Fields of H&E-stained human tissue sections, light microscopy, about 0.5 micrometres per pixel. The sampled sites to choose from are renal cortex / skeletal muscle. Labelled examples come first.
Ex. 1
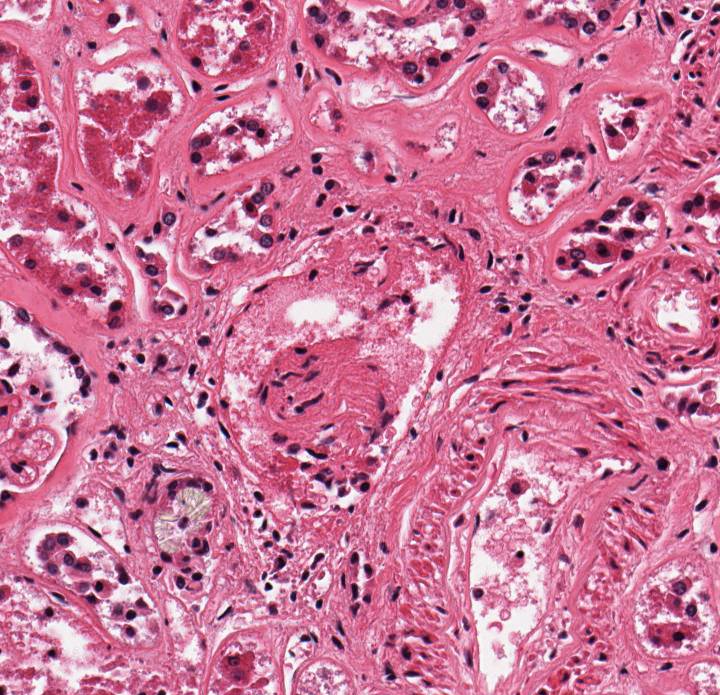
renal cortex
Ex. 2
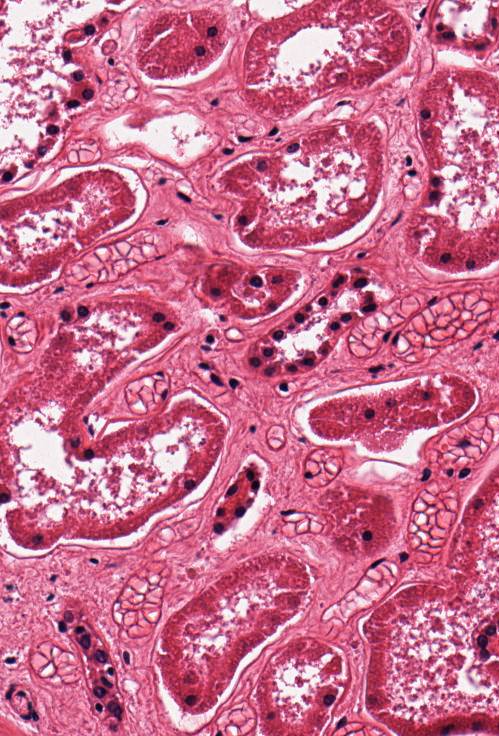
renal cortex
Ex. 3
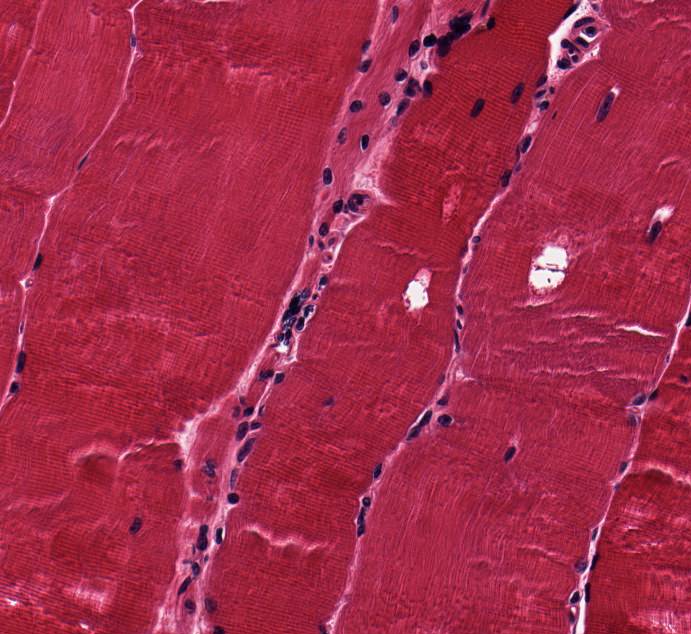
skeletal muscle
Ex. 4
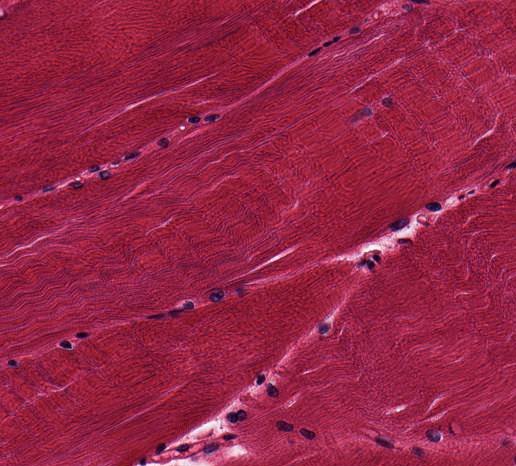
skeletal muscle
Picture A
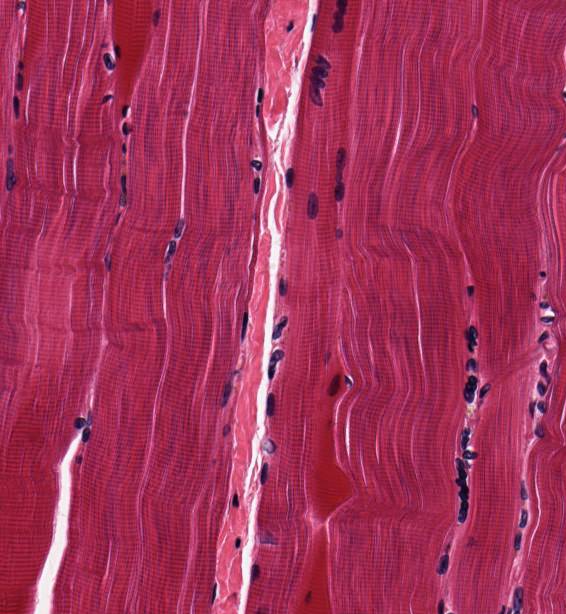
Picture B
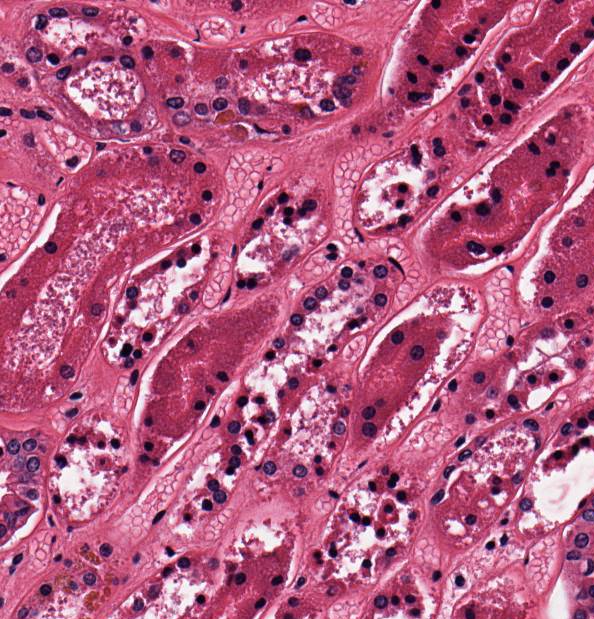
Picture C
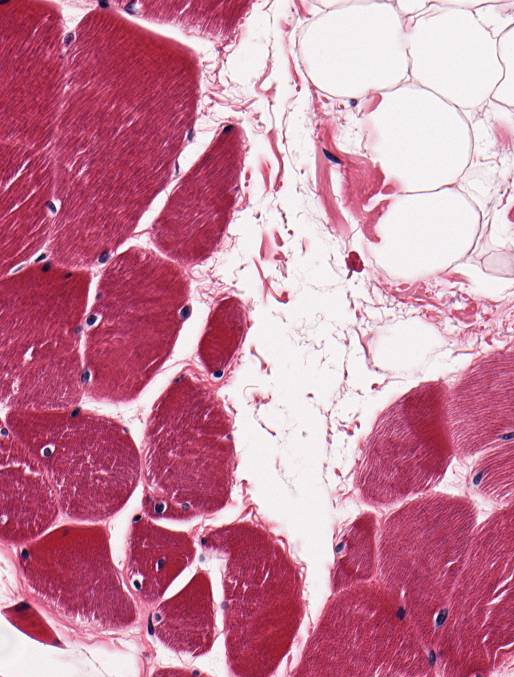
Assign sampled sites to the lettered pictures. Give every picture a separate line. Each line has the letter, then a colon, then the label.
A: skeletal muscle
B: renal cortex
C: skeletal muscle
